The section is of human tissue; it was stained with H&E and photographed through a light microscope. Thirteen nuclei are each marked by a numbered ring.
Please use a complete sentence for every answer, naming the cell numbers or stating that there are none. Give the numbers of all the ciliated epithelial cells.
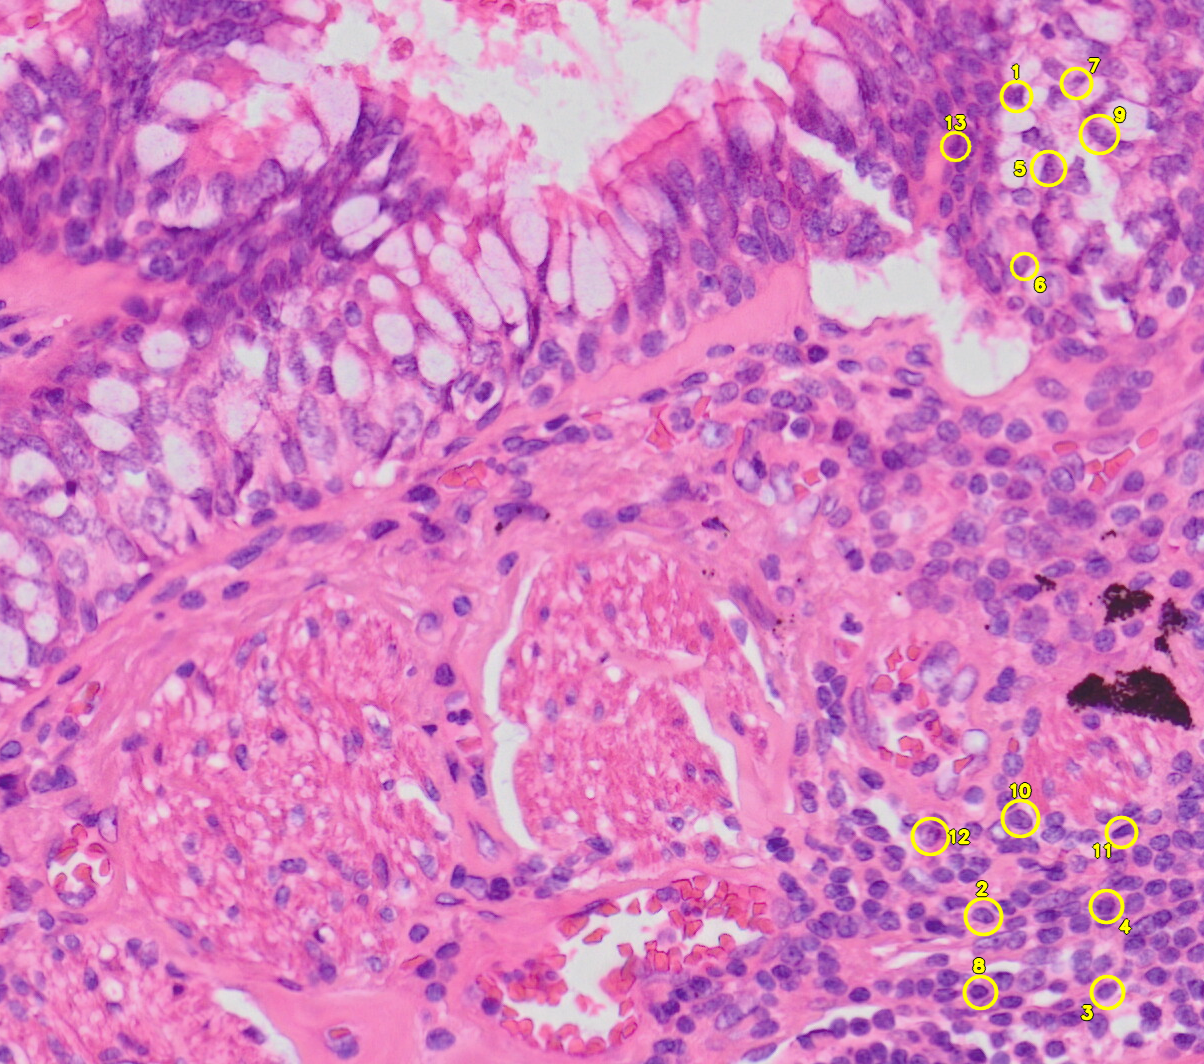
The cells marked with the numbers 1, 5, 6, 7, 9 and 13 are ciliated epithelial cells.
